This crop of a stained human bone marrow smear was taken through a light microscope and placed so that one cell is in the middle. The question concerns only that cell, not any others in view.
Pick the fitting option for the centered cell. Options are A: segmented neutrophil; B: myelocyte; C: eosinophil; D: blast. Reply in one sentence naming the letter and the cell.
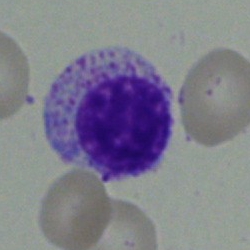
Identification: the cell in the middle is a myelocyte, matching option B.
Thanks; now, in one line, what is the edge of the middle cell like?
Smooth all around, the outline has no projections to report.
